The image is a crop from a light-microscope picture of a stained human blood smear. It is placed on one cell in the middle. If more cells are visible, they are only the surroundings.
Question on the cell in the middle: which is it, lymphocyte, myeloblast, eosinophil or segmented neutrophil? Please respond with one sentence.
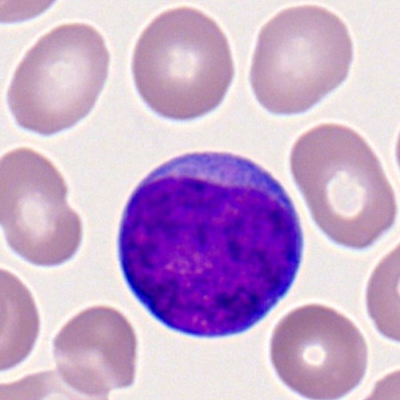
In short, the cell at the center is a myeloblast.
